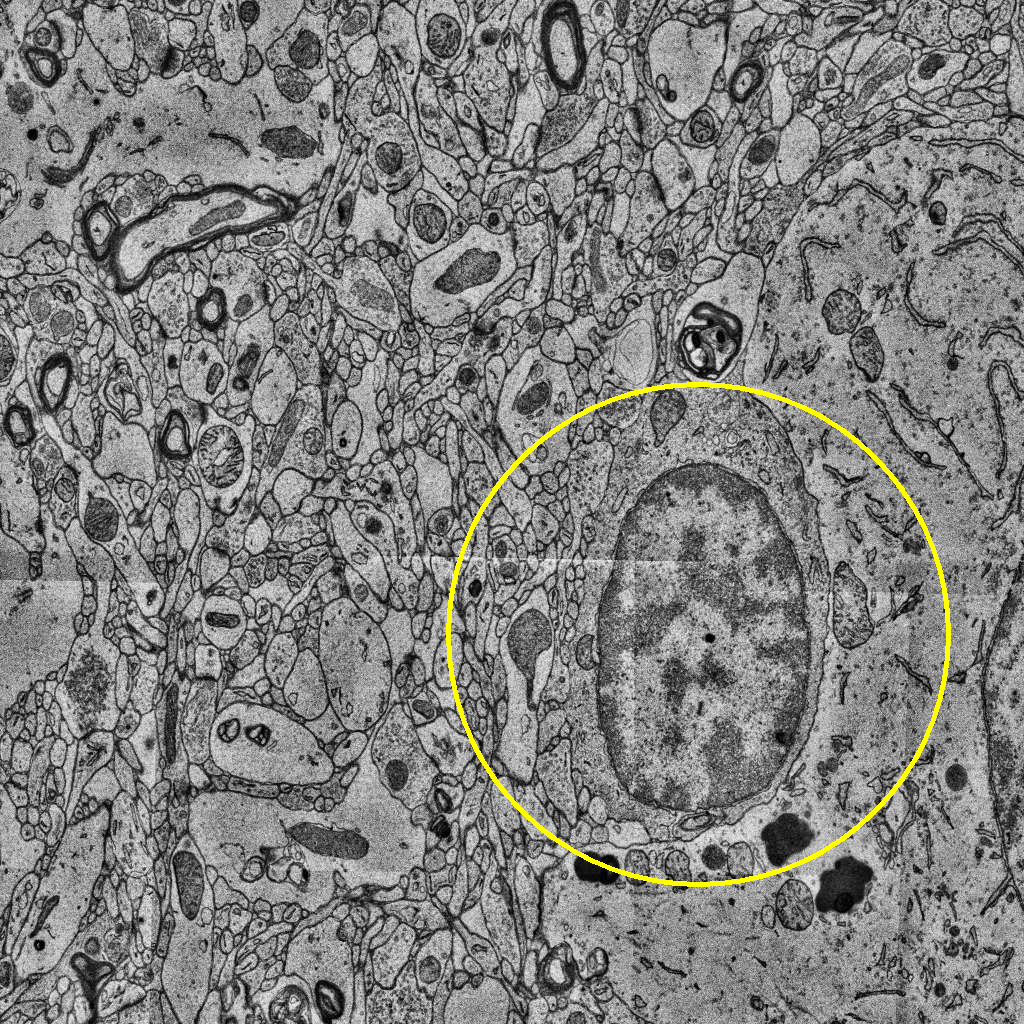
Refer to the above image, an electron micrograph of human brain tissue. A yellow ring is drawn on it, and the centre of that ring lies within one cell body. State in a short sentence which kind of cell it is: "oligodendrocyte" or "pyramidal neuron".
The centre of the ring falls on an oligodendrocyte.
